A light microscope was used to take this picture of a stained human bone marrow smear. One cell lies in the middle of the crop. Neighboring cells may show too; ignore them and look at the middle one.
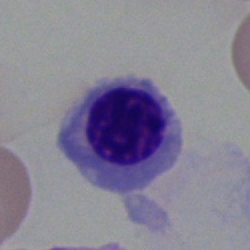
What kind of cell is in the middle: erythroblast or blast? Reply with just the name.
erythroblast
